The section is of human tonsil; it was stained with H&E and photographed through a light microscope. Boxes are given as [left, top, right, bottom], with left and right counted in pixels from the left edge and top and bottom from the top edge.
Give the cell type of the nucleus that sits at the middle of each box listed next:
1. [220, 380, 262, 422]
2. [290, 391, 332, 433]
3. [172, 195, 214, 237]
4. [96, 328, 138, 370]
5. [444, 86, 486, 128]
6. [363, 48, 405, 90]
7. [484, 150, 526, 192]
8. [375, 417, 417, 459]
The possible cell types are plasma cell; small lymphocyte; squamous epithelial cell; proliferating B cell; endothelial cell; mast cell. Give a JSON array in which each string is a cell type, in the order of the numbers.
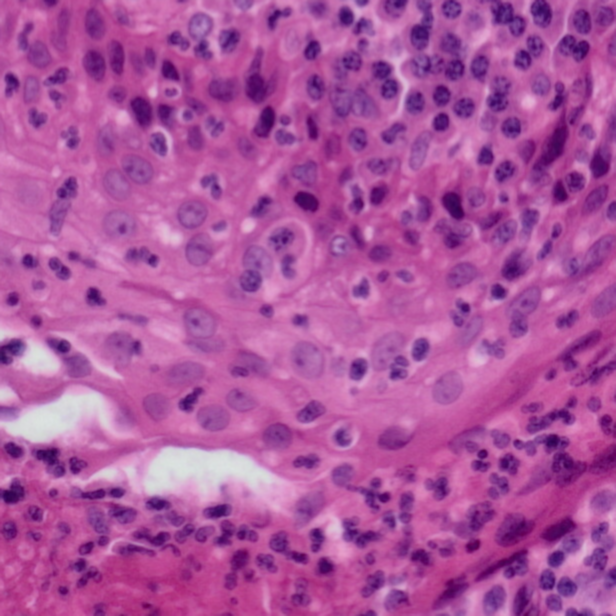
["squamous epithelial cell", "squamous epithelial cell", "squamous epithelial cell", "squamous epithelial cell", "plasma cell", "plasma cell", "plasma cell", "squamous epithelial cell"]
